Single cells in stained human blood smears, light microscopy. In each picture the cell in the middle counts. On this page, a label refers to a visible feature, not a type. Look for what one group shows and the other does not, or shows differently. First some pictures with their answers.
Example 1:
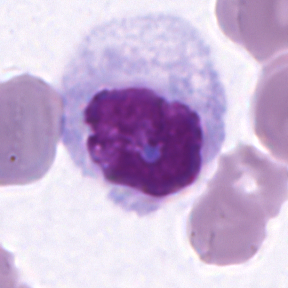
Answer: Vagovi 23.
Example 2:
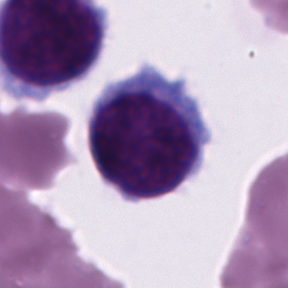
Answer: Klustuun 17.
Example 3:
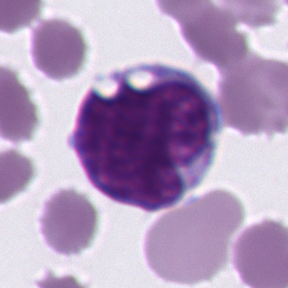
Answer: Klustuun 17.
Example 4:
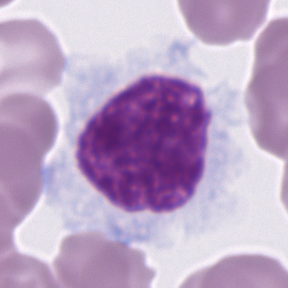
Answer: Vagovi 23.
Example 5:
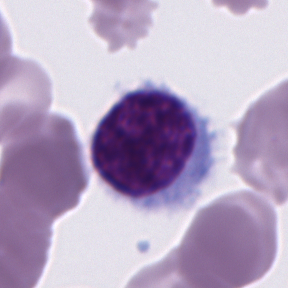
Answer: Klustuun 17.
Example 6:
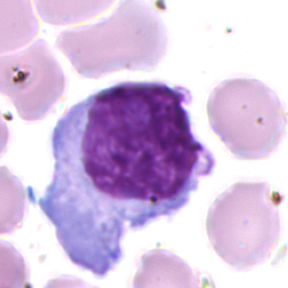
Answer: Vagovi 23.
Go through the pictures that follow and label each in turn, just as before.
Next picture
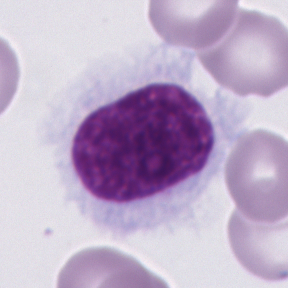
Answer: Vagovi 23.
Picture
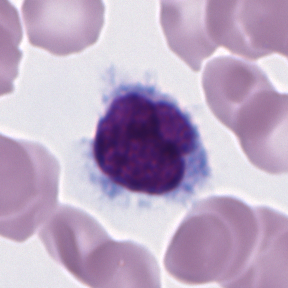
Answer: Klustuun 17.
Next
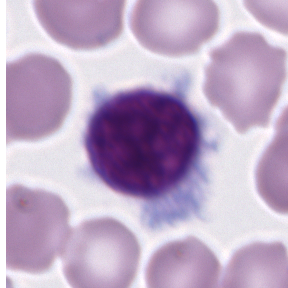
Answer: Klustuun 17.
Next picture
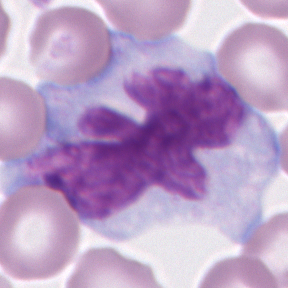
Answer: Vagovi 23.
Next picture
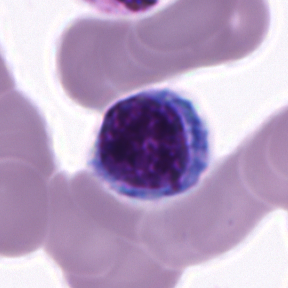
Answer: Klustuun 17.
